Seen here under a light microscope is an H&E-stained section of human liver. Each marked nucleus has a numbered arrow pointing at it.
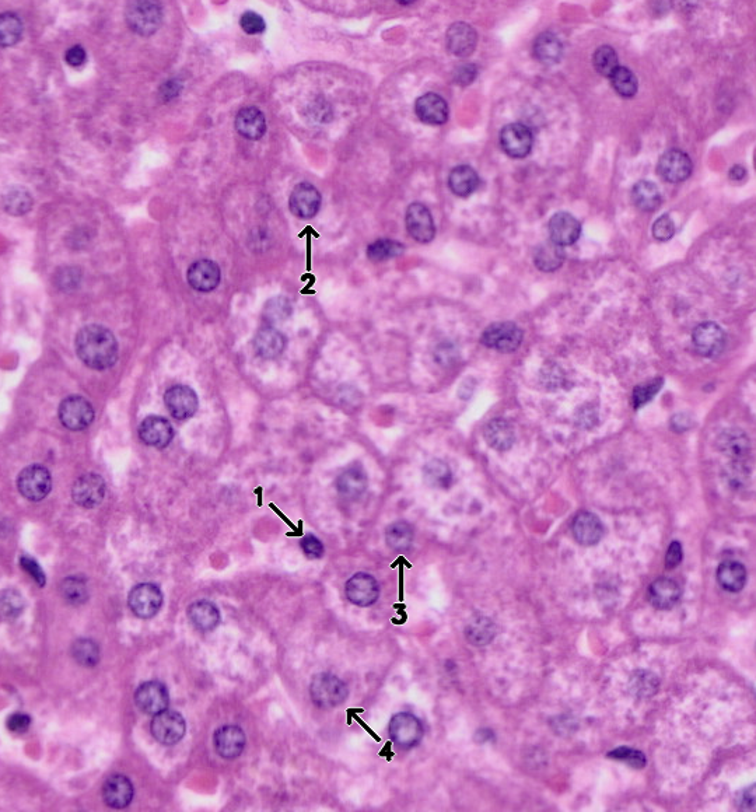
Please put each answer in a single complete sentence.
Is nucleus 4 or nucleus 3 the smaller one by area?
It is nucleus 3; nucleus 4 has about 1.5 times its area.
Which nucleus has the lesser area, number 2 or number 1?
It is nucleus 1; nucleus 2 has about 2 times its area.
